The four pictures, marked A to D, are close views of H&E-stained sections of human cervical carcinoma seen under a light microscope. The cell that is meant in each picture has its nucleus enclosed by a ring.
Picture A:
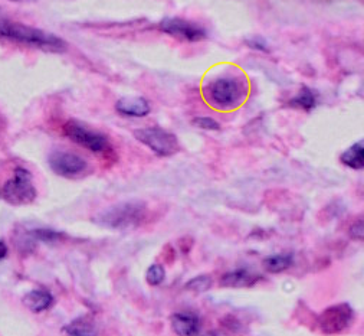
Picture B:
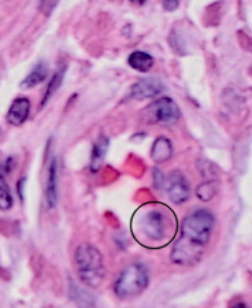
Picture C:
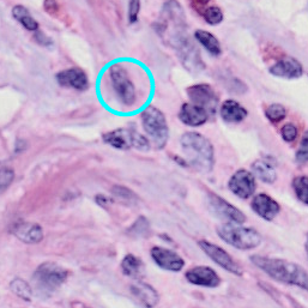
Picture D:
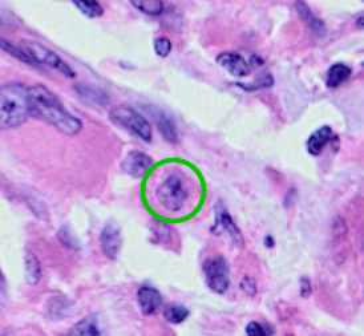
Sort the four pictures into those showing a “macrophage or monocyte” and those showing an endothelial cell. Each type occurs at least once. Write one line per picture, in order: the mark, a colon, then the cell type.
A: macrophage or monocyte
B: endothelial cell
C: macrophage or monocyte
D: macrophage or monocyte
